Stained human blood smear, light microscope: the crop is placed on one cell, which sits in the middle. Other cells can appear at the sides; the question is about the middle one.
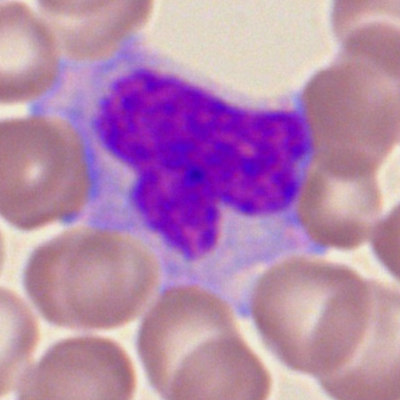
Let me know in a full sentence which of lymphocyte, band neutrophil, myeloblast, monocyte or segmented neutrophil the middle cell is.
Answering briefly, the cell in the middle is a monocyte.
